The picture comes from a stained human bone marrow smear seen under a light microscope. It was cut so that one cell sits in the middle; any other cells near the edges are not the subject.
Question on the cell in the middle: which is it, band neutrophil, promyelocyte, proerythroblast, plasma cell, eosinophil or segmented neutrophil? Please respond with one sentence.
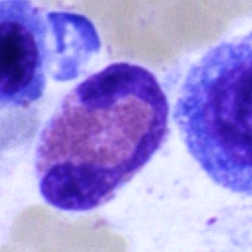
Answering briefly, the cell in the middle is an eosinophil.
